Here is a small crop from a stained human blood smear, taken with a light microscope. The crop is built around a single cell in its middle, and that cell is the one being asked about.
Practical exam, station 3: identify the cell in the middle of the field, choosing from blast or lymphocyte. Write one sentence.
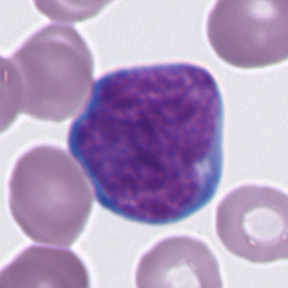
The centrally located cell in the crop is a blast.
